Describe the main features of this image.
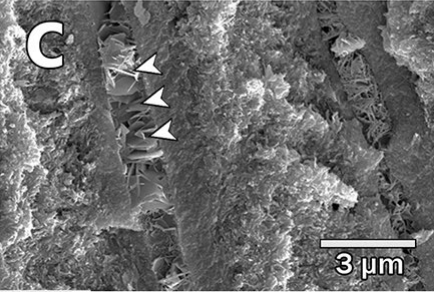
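This is a longitudinal view of dentin with its tubules cut lengthwise. Several parallel channels run diagonally across the field, separated by bands of rough, granular matrix. Inside one channel lies a cluster of thin, flat, angular plate-like crystals stacked at varied angles. Further tubules to the side also hold small plate-like deposits.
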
